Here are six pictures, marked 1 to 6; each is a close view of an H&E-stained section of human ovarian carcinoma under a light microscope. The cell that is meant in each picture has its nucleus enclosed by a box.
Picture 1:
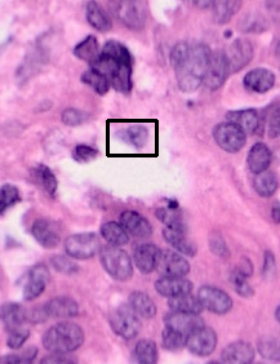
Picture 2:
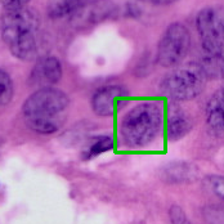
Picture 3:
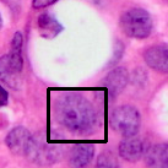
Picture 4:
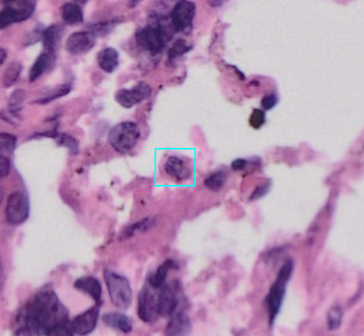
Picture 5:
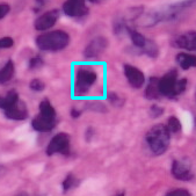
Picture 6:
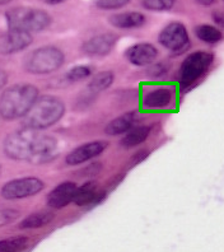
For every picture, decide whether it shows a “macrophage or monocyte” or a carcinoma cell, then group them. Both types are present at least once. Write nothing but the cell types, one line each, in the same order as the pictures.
macrophage or monocyte
carcinoma cell
carcinoma cell
macrophage or monocyte
macrophage or monocyte
carcinoma cell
